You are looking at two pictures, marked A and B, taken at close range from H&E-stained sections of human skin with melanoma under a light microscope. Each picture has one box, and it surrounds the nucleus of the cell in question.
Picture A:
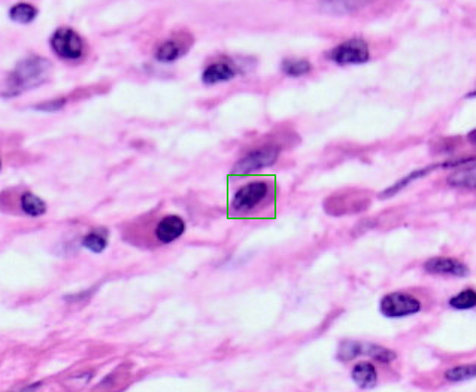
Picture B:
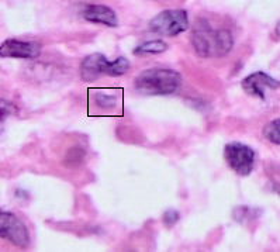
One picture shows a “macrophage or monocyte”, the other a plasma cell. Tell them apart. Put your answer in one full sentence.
The cell in picture A is a plasma cell, and the one in picture B is a “macrophage or monocyte”.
